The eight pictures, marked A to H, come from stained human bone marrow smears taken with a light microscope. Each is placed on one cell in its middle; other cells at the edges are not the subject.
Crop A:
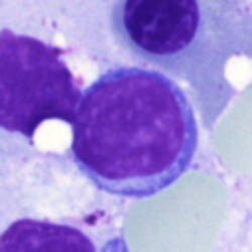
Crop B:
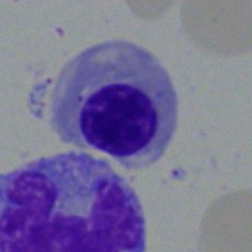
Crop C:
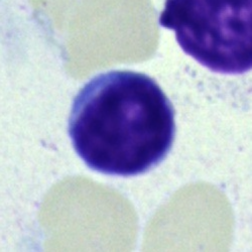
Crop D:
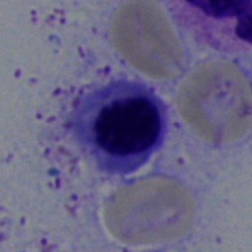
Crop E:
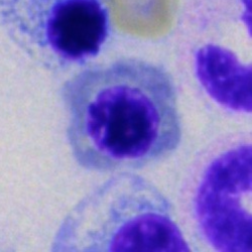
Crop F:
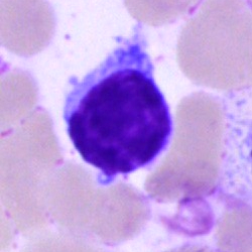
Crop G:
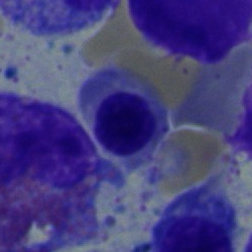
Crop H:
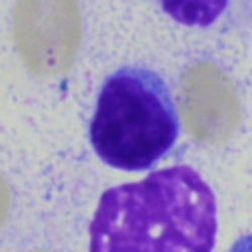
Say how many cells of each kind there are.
lymphocyte: 4
erythroblast: 4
